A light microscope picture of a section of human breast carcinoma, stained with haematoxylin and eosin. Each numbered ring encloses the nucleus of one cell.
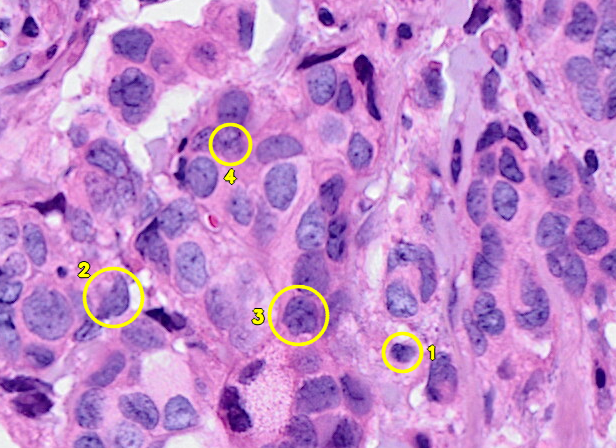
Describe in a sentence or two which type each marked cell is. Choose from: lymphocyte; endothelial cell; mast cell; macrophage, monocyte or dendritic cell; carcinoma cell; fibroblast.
Cell 1 is a mast cell, cell 2 is a carcinoma cell, cell 3 is a carcinoma cell and cell 4 is a carcinoma cell.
